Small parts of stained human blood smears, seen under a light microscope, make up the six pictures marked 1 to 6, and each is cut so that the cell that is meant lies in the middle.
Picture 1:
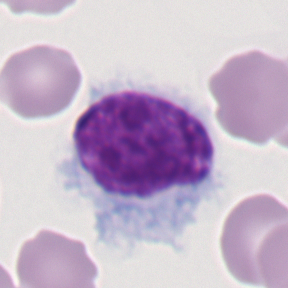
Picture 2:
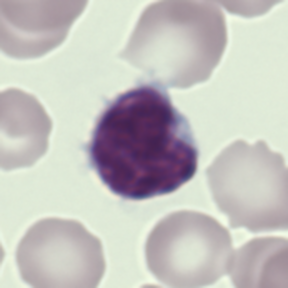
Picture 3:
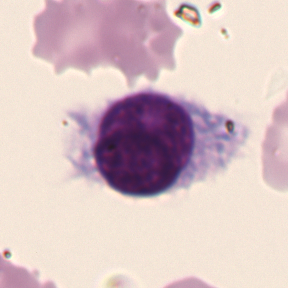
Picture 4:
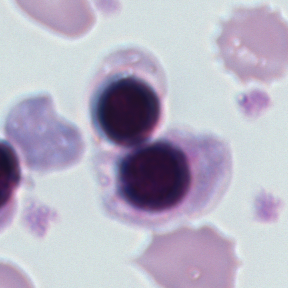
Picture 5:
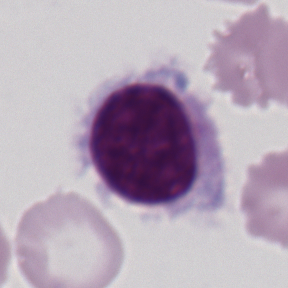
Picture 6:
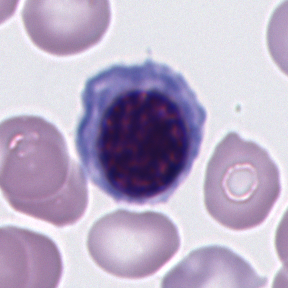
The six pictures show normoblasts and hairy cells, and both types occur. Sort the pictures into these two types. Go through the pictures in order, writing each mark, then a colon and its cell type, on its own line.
1: hairy cell
2: hairy cell
3: hairy cell
4: normoblast
5: hairy cell
6: normoblast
